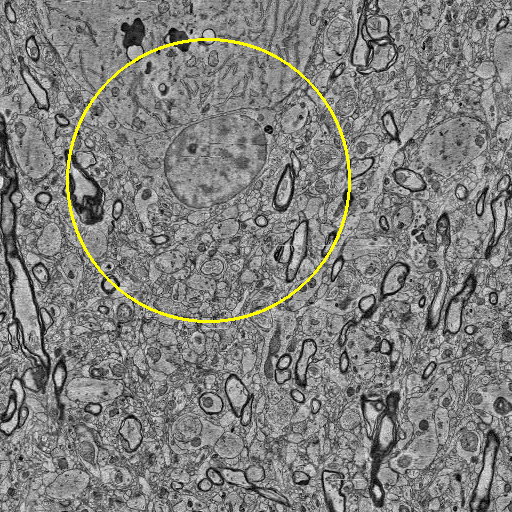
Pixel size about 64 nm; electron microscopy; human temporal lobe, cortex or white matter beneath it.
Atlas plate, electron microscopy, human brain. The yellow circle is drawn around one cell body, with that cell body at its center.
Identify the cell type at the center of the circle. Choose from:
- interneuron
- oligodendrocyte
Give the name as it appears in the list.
oligodendrocyte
